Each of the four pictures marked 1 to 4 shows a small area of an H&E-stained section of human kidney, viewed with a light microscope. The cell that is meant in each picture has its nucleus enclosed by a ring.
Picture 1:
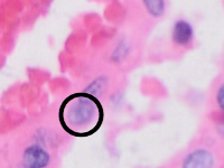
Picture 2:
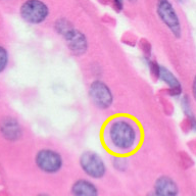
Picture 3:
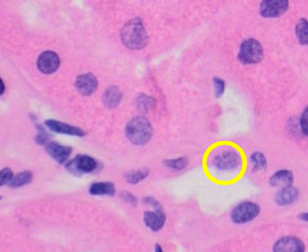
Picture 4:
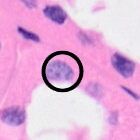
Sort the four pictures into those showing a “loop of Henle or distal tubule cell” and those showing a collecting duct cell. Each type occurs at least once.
1: collecting duct cell
2: loop of Henle or distal tubule cell
3: collecting duct cell
4: loop of Henle or distal tubule cell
